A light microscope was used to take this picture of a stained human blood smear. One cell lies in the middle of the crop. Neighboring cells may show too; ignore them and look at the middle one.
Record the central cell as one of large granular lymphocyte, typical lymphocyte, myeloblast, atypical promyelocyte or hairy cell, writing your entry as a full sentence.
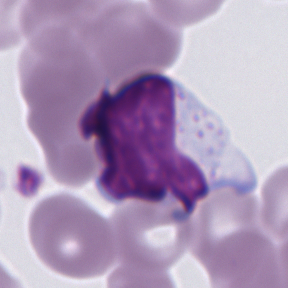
Whatever else lies nearby, the middle cell is a large granular lymphocyte.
